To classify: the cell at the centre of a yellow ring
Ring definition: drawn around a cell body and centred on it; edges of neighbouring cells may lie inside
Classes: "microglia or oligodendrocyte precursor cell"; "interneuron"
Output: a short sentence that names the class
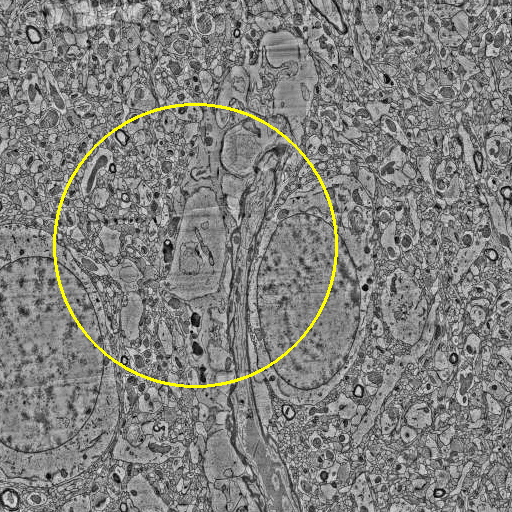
The ringed cell is a microglial cell or oligodendrocyte precursor cell.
